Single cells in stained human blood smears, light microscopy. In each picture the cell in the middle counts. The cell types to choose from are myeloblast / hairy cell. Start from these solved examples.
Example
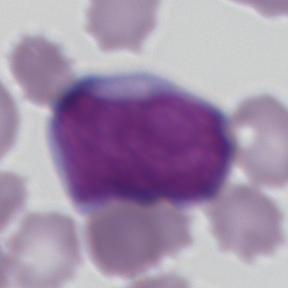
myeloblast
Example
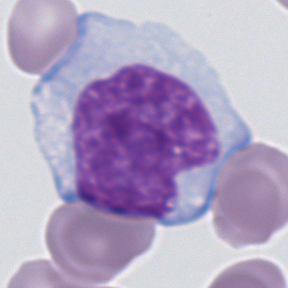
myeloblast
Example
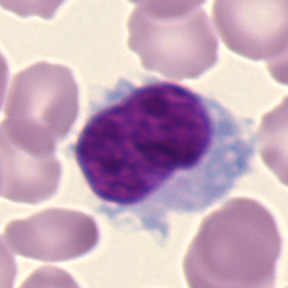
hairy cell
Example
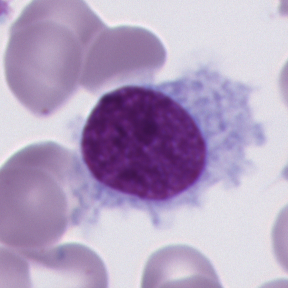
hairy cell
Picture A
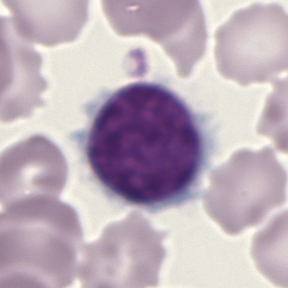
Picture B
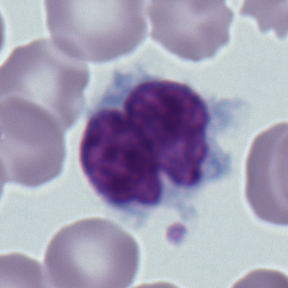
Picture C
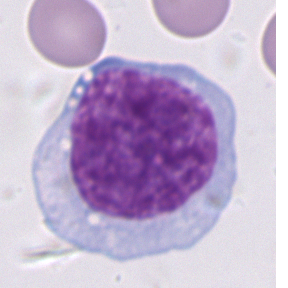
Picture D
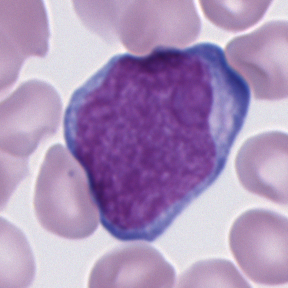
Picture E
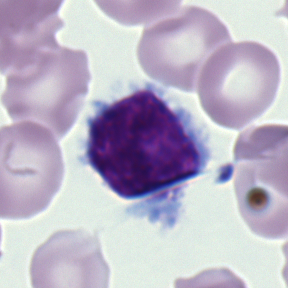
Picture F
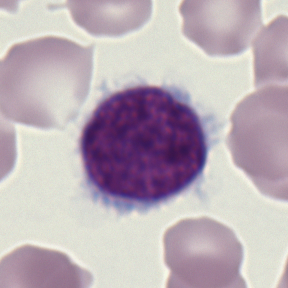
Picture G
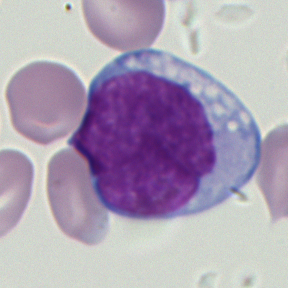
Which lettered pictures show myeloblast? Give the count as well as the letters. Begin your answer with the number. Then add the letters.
3: C, D, G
